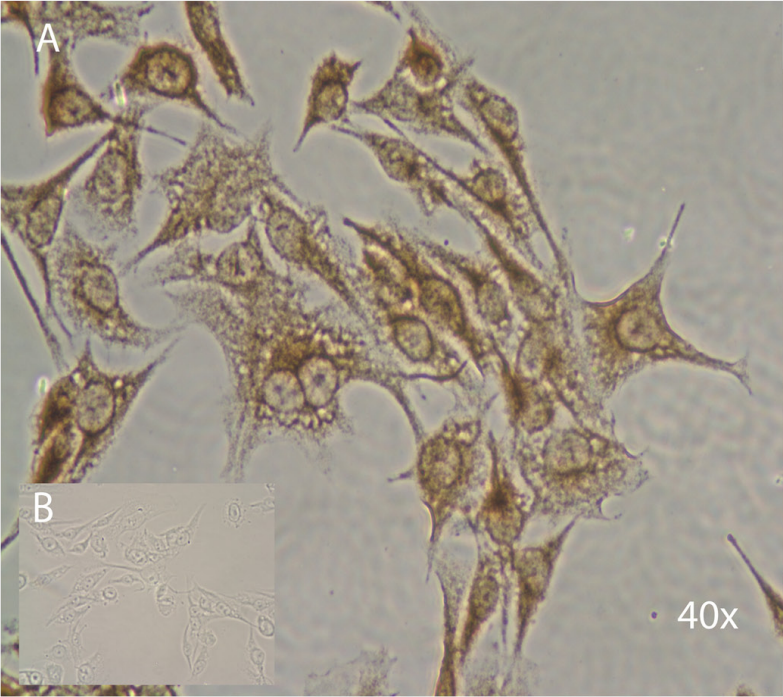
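These are single cultured cells, loosely clustered and partly overlapping, stained brown throughout. They are polygonal to spindle-shaped, and many send out long, tapering processes, giving some a triangular or stellate outline. Each has a large round to oval nucleus with fine chromatin and one or more distinct nucleoli. One cell holds two nuclei side by side. The cytoplasm is granular and contains small clear vacuoles, mostly around the nucleus. In the small inset, cells of similar shape appear pale grey with no brown colour.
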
